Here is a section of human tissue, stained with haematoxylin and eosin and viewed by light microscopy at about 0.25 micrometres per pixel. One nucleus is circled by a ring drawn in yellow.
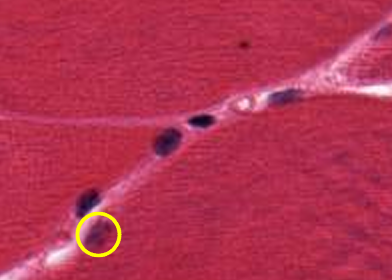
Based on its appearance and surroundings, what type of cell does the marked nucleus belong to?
skeletal muscle fibre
